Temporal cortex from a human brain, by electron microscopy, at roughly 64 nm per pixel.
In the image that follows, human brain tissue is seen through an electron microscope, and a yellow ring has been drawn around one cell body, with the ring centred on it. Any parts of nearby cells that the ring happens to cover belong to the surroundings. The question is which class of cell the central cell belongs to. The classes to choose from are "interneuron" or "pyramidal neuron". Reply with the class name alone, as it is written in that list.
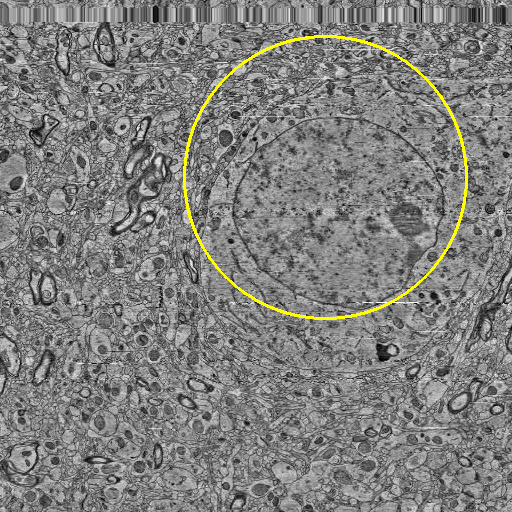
pyramidal neuron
